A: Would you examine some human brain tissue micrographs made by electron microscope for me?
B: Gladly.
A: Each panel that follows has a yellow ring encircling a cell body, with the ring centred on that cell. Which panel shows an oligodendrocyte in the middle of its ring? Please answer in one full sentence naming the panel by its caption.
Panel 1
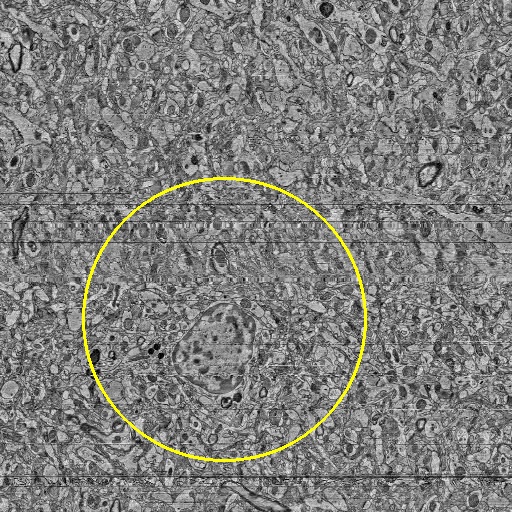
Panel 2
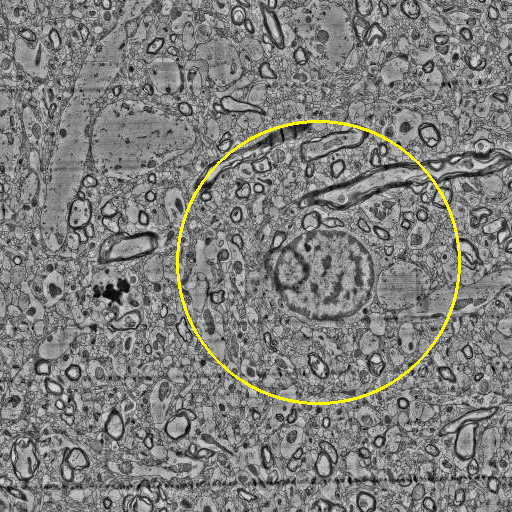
Panel 2 is where the ring sits centred on the requested cell.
